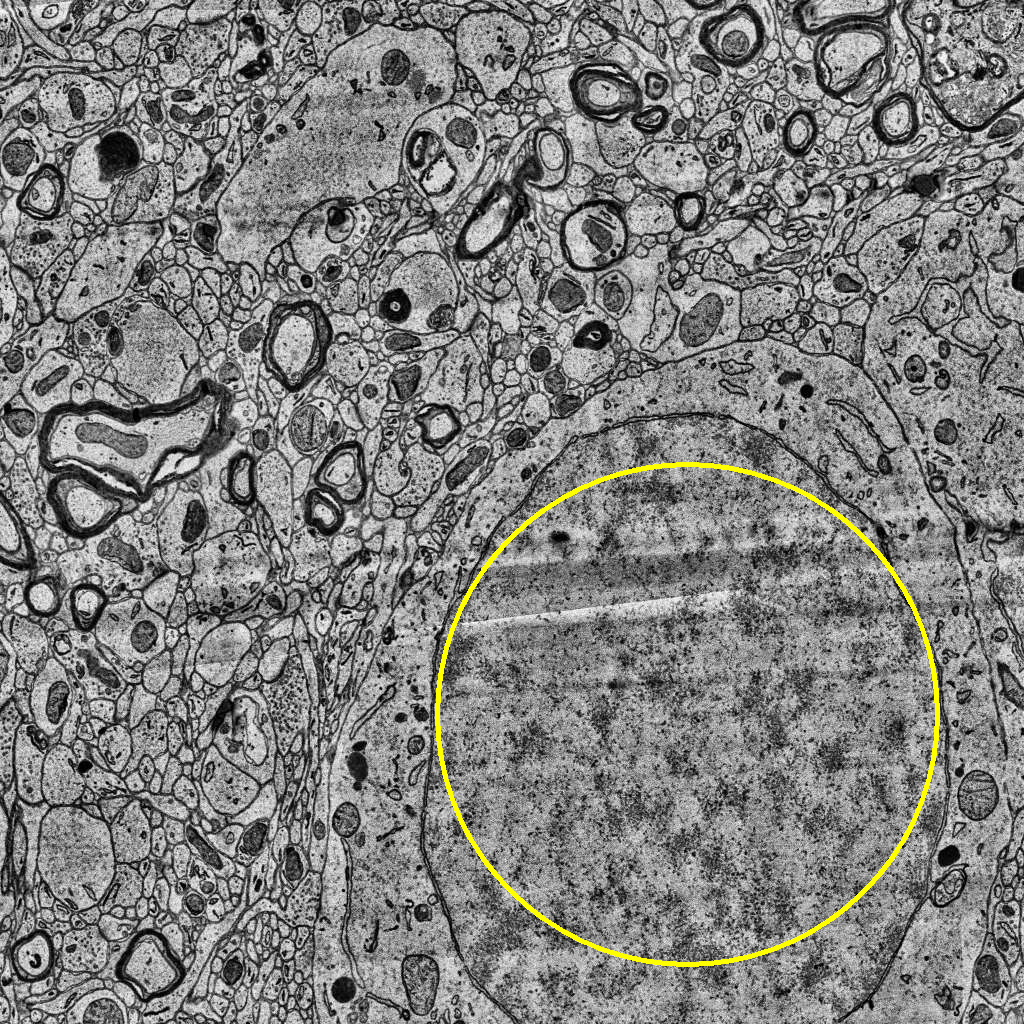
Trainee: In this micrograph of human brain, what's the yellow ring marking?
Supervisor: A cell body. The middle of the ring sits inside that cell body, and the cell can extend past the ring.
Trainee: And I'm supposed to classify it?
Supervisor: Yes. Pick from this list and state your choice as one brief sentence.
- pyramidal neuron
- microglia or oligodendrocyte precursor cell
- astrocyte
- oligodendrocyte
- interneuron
The cell at the ring's center is a pyramidal neuron.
